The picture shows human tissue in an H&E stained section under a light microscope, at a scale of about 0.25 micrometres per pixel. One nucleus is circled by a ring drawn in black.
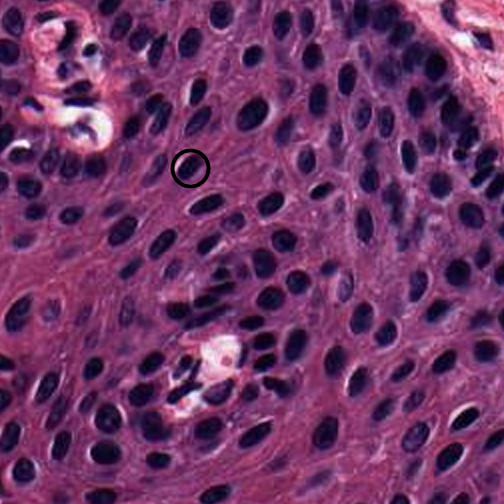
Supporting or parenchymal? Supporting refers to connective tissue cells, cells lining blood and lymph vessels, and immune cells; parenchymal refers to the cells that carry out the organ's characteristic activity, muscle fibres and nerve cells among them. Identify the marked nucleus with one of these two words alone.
parenchymal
